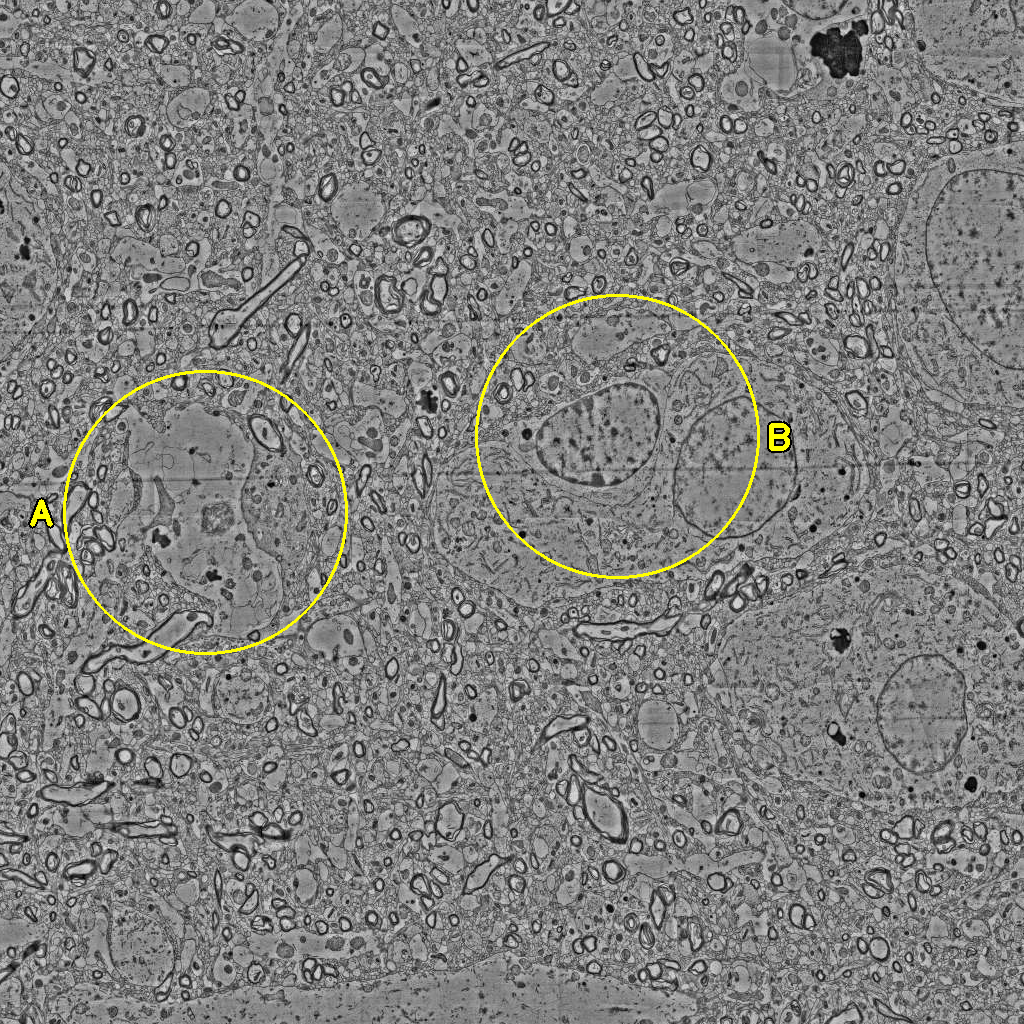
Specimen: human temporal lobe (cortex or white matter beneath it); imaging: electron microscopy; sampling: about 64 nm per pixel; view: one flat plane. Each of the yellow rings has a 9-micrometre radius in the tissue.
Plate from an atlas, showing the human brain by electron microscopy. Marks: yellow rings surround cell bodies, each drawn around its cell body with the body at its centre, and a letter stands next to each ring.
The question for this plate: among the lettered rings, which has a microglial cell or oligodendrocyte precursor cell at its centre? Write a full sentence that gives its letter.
Ring B holds at its centre the cell that the question asks about in the picture.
